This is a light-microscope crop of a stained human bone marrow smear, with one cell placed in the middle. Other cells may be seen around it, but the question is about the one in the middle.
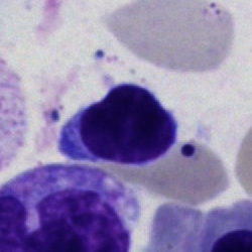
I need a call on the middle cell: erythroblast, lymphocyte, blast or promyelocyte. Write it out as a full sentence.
Whatever else lies nearby, the middle cell is a lymphocyte.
